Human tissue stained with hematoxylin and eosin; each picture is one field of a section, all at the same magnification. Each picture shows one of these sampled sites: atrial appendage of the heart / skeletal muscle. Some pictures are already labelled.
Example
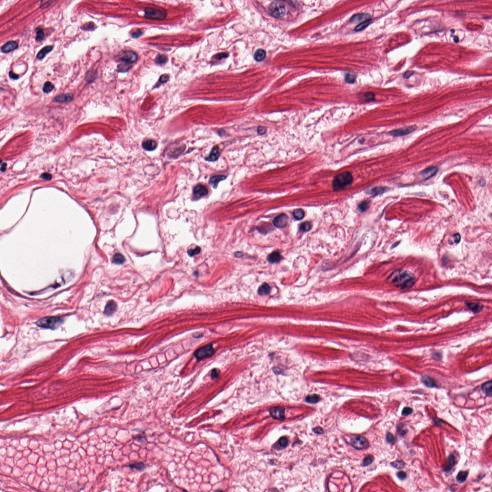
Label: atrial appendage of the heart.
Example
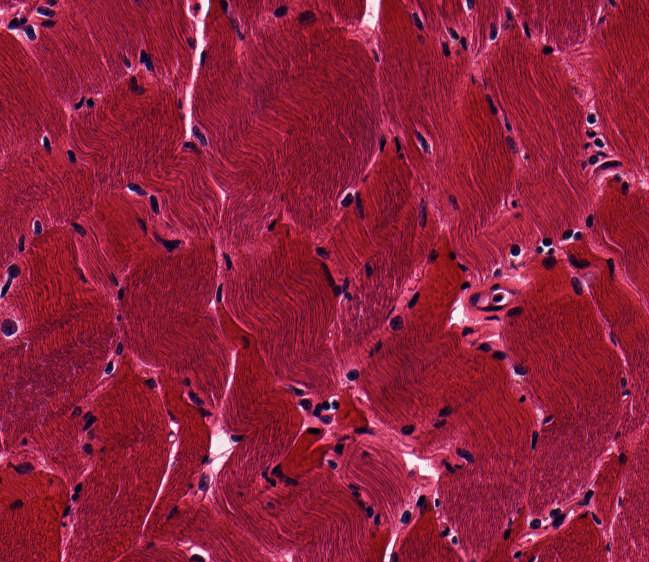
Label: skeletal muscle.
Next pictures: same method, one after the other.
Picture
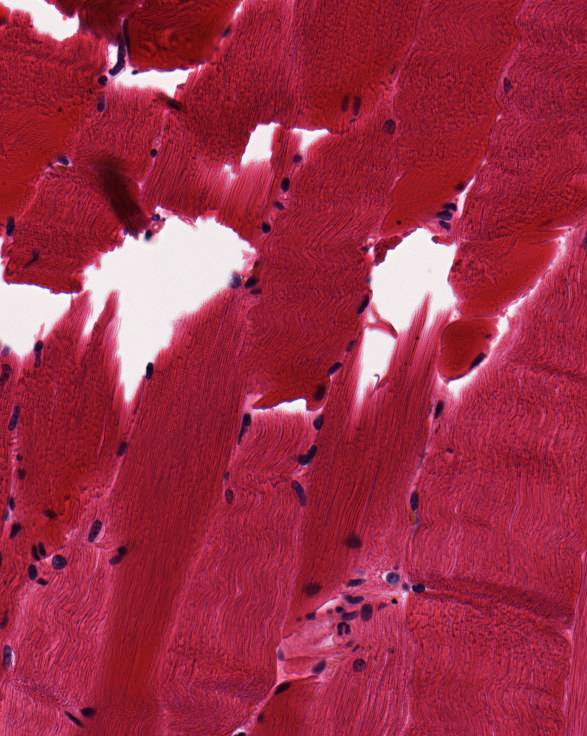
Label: skeletal muscle.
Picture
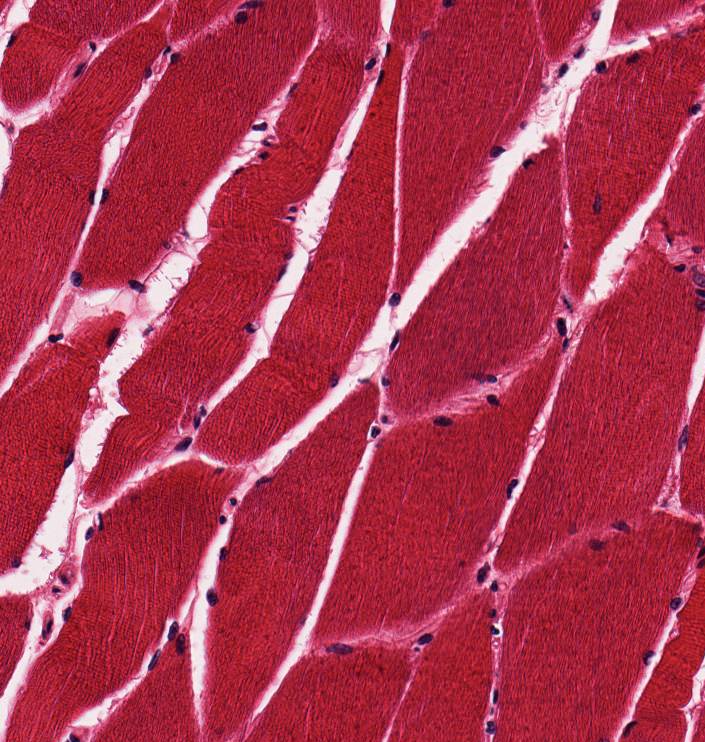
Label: skeletal muscle.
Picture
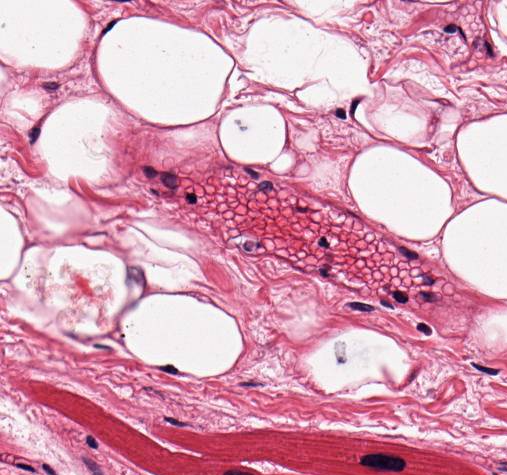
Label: atrial appendage of the heart.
